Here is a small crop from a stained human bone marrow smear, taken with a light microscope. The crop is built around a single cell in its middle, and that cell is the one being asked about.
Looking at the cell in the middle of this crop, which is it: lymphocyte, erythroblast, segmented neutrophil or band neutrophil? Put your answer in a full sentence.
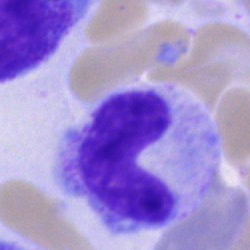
Regarding the central cell, it is a band neutrophil.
